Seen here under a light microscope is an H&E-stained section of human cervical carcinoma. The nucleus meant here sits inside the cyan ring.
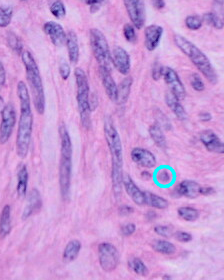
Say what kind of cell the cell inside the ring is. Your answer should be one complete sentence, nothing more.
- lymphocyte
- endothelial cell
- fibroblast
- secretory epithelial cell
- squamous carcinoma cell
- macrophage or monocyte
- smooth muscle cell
On this particular slide, the cell inside the ring is a smooth muscle cell.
